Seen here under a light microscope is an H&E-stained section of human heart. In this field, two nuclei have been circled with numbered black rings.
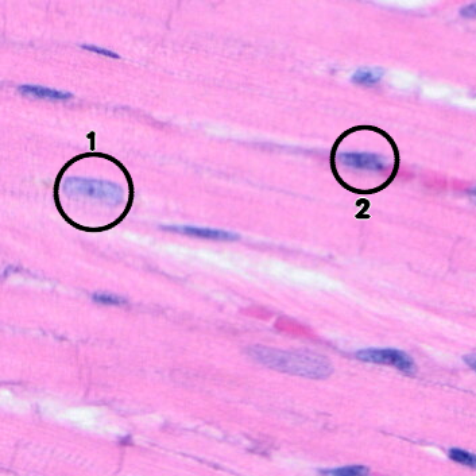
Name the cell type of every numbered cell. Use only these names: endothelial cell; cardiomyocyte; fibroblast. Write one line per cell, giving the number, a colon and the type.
1: cardiomyocyte
2: endothelial cell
